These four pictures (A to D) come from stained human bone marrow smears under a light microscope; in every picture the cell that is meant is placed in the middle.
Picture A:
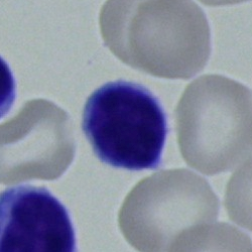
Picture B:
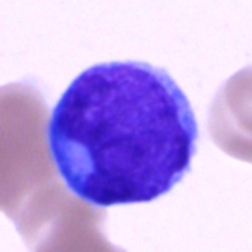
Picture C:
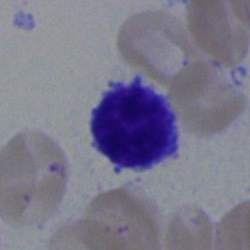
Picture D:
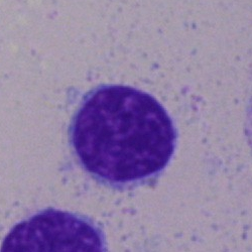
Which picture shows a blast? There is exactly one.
B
